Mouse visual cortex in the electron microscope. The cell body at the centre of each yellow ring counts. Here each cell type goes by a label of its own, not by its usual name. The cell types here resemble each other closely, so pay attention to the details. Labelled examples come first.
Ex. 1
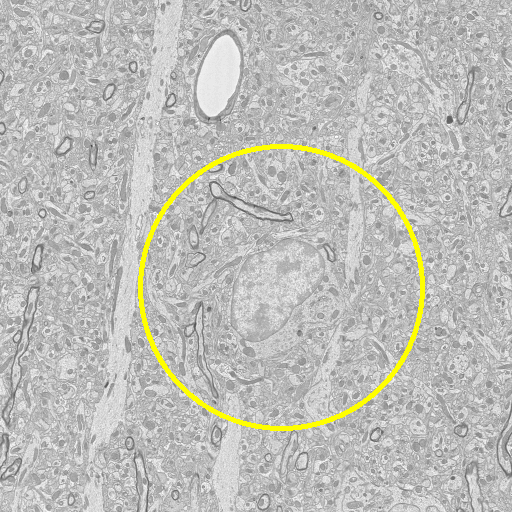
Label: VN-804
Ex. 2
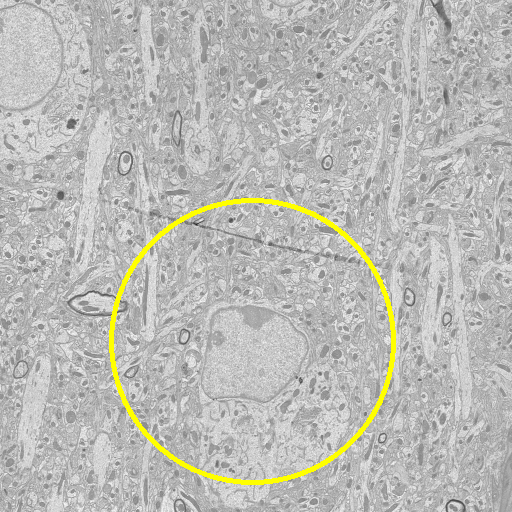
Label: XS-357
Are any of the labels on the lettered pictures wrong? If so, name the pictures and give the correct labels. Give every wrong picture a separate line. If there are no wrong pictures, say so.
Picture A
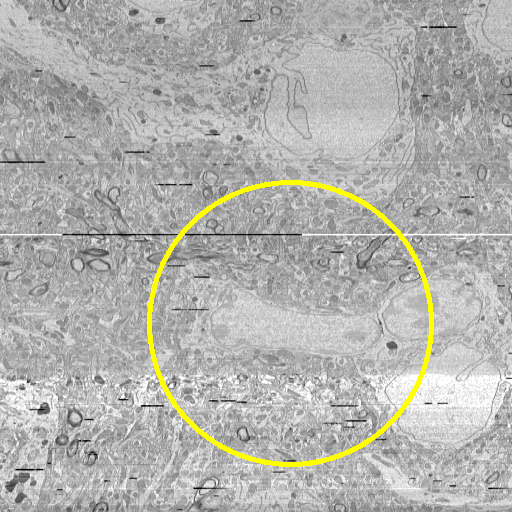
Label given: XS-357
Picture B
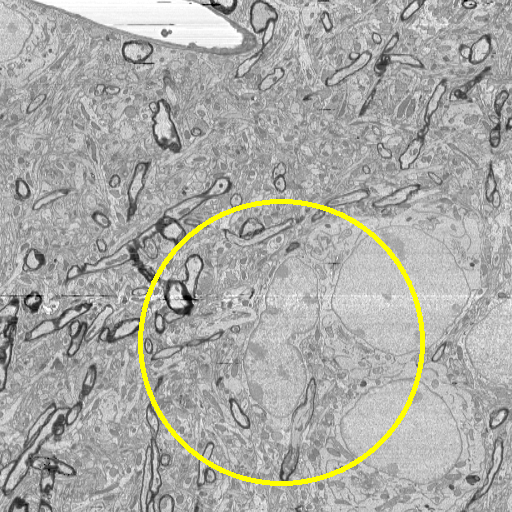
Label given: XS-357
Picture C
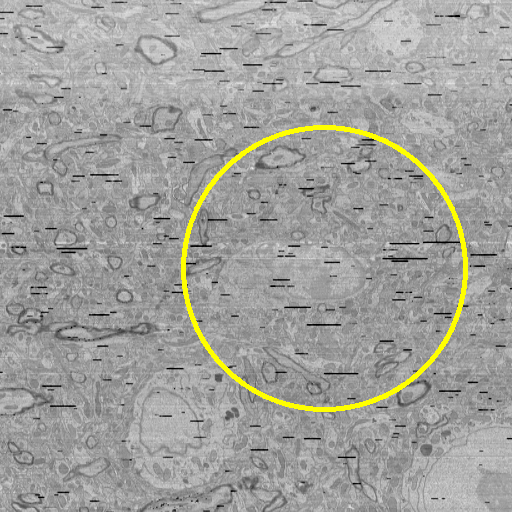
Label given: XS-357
C is labelled XS-357; correct label: VN-804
